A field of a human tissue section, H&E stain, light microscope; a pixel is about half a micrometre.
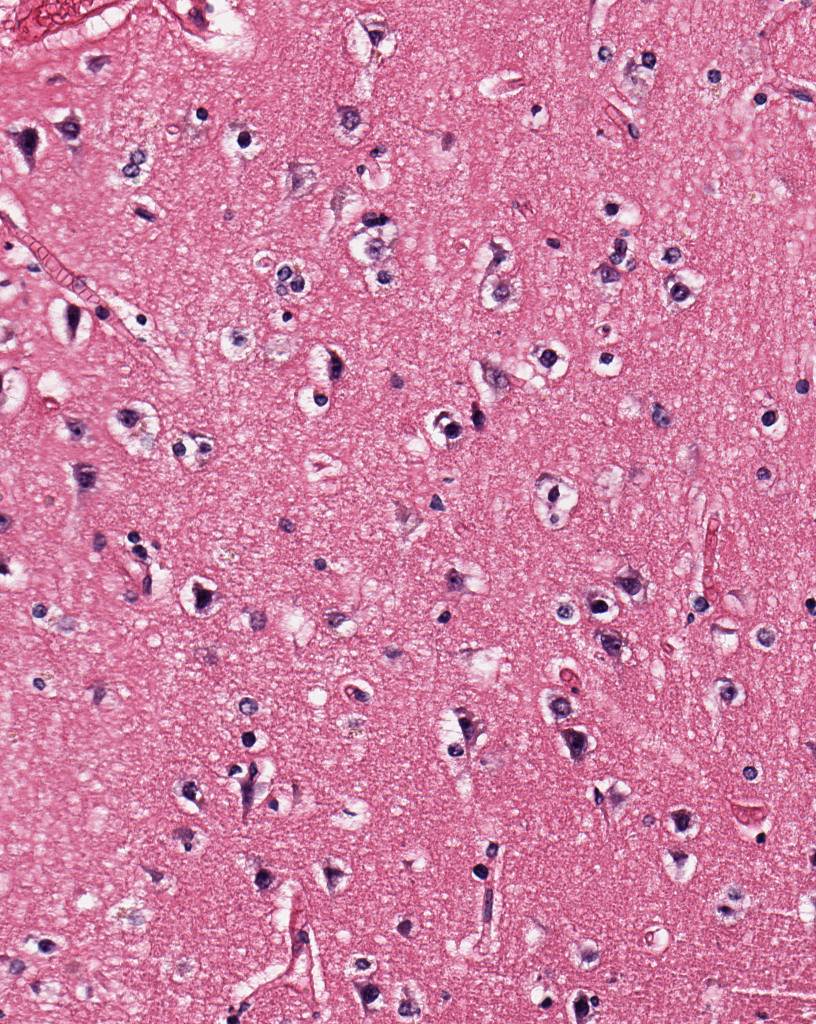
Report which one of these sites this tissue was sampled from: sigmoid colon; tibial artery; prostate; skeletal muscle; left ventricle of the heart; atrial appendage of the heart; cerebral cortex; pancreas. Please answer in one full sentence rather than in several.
The tissue on this slide is from the cerebral cortex.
